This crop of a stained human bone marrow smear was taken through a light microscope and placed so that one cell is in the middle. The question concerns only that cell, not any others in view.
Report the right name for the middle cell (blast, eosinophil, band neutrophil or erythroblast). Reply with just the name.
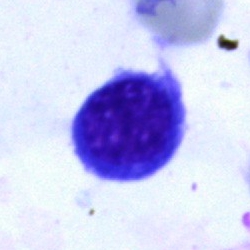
erythroblast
